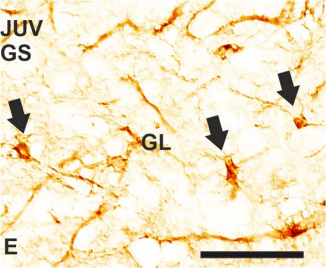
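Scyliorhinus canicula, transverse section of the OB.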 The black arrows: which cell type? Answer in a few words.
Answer: small highly branched cells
